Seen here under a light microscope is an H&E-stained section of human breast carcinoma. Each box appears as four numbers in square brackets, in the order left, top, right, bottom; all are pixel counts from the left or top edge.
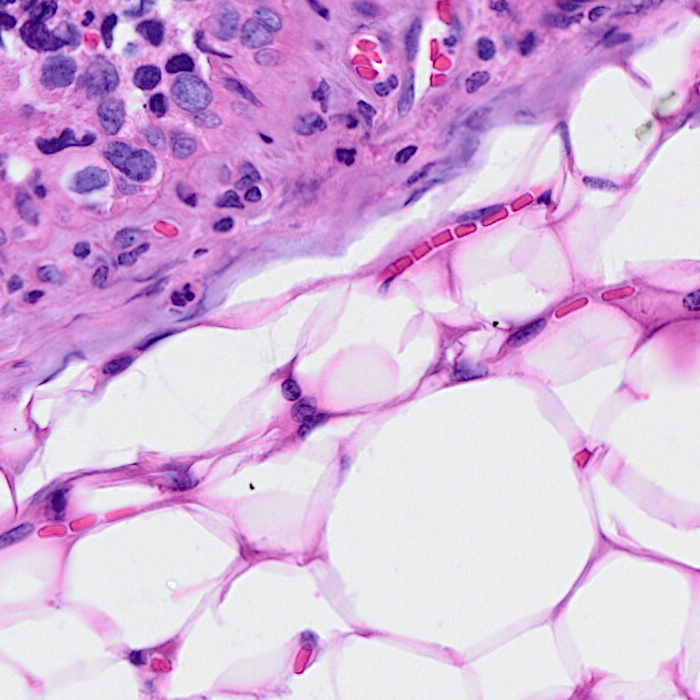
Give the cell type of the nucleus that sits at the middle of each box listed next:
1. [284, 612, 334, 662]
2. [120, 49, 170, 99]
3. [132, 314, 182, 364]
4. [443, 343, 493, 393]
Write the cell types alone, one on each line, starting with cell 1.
endothelial cell
carcinoma cell
fibroblast
fibroblast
